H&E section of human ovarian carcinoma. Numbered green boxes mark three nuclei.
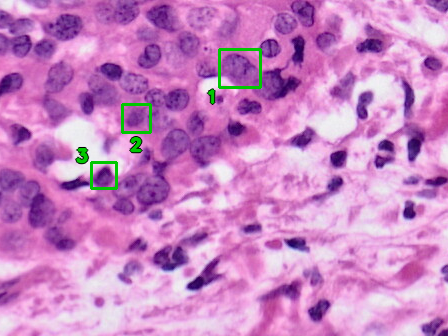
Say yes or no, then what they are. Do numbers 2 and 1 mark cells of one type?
Yes, cells 2 and 1 both belong among the carcinoma cells.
